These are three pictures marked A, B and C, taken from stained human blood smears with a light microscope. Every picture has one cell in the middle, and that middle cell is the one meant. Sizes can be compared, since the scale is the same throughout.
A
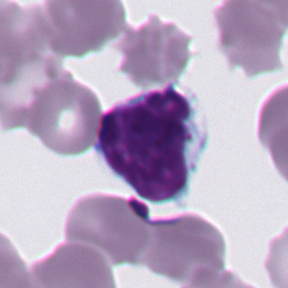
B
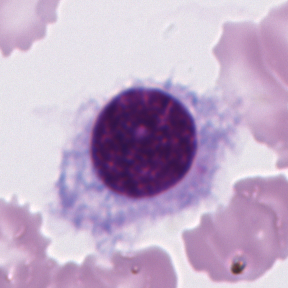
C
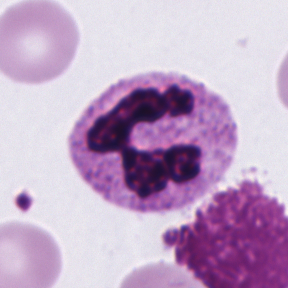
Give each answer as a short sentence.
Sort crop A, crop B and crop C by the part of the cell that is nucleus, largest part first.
From the most filled to the least, the order is A, B, C.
